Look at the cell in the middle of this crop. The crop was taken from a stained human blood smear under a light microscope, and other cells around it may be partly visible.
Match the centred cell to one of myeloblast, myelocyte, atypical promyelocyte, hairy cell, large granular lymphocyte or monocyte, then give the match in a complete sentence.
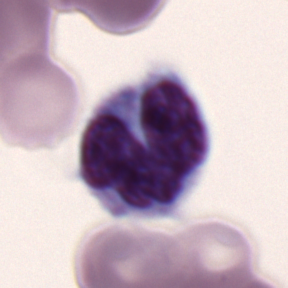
The central cell, amid any neighbouring cells, is a monocyte.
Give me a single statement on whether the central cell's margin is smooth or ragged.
Its outline is smooth, with no projections anywhere along the edge.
